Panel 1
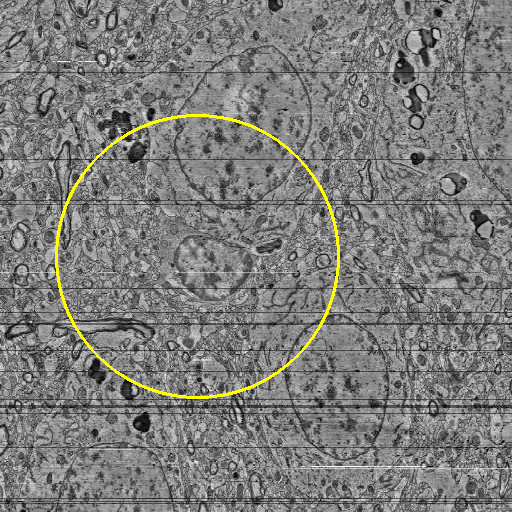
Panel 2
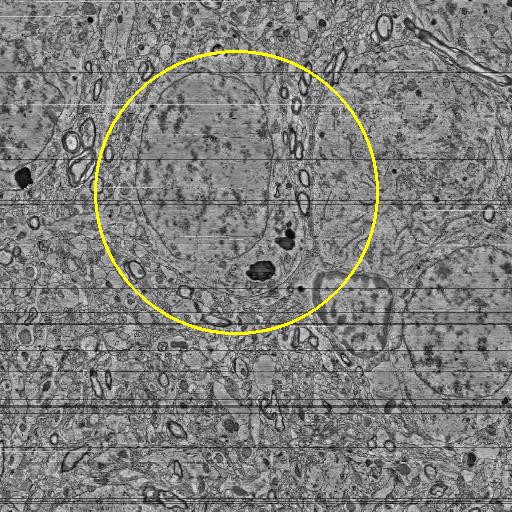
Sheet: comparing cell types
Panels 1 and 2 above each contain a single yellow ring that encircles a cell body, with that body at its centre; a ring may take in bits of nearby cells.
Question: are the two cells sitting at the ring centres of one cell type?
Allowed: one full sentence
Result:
No, the ring-centre cells in Panel 1 and Panel 2 are of two types.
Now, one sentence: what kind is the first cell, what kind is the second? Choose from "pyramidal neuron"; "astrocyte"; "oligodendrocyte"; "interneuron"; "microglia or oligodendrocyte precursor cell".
The first picture has an oligodendrocyte at its ring centre, and the second has a pyramidal neuron.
